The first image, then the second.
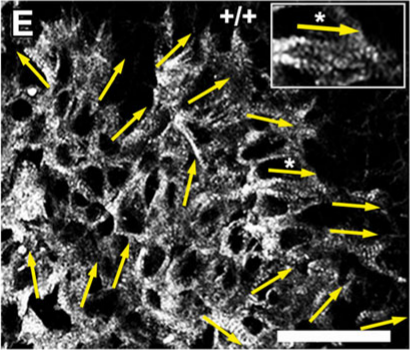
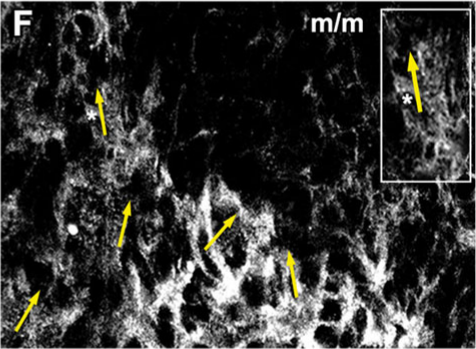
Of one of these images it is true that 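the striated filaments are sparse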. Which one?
The second image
